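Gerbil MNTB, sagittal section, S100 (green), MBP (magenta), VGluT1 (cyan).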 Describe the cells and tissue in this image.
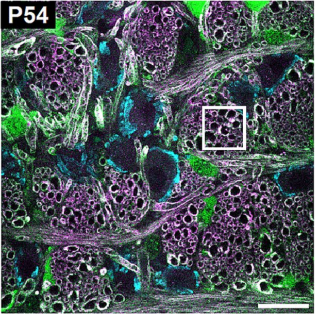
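This brainstem nucleus shows large round dark neuron cell bodies separated by dense bundles of axons cut in cross-section, seen as packed small rings in white and magenta. Thin cyan rims lie against the surfaces of some of the large neurons, marking the giant calyx-shaped terminals. A few bright green cell bodies with short processes sit between the axon bundles. Bands of axons running lengthwise cross the field between the round bundles.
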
